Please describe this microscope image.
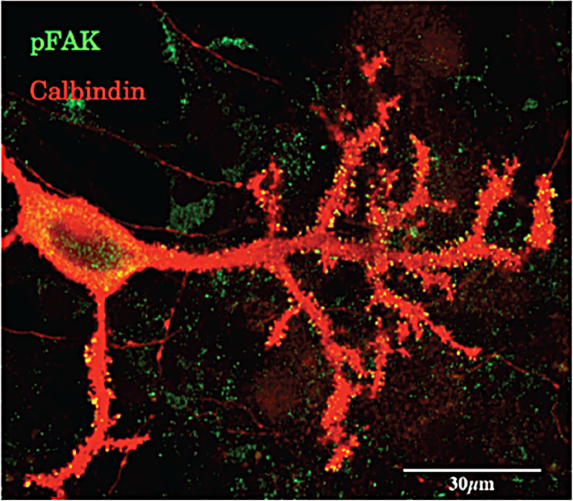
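A cultured Purkinje cell, labelled red, has a large rounded cell body at the left edge whose cytoplasm is speckled with green and yellow. A single thick dendrite runs to the right and splits into a fan of branches, while another dendrite runs downward. The branches are densely covered with short spines. Many spines carry bright green or yellow dots, from near the cell body out to the branch tips. Fainter green patches and thin red fibres lie in the dark background around the dendritic tree.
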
